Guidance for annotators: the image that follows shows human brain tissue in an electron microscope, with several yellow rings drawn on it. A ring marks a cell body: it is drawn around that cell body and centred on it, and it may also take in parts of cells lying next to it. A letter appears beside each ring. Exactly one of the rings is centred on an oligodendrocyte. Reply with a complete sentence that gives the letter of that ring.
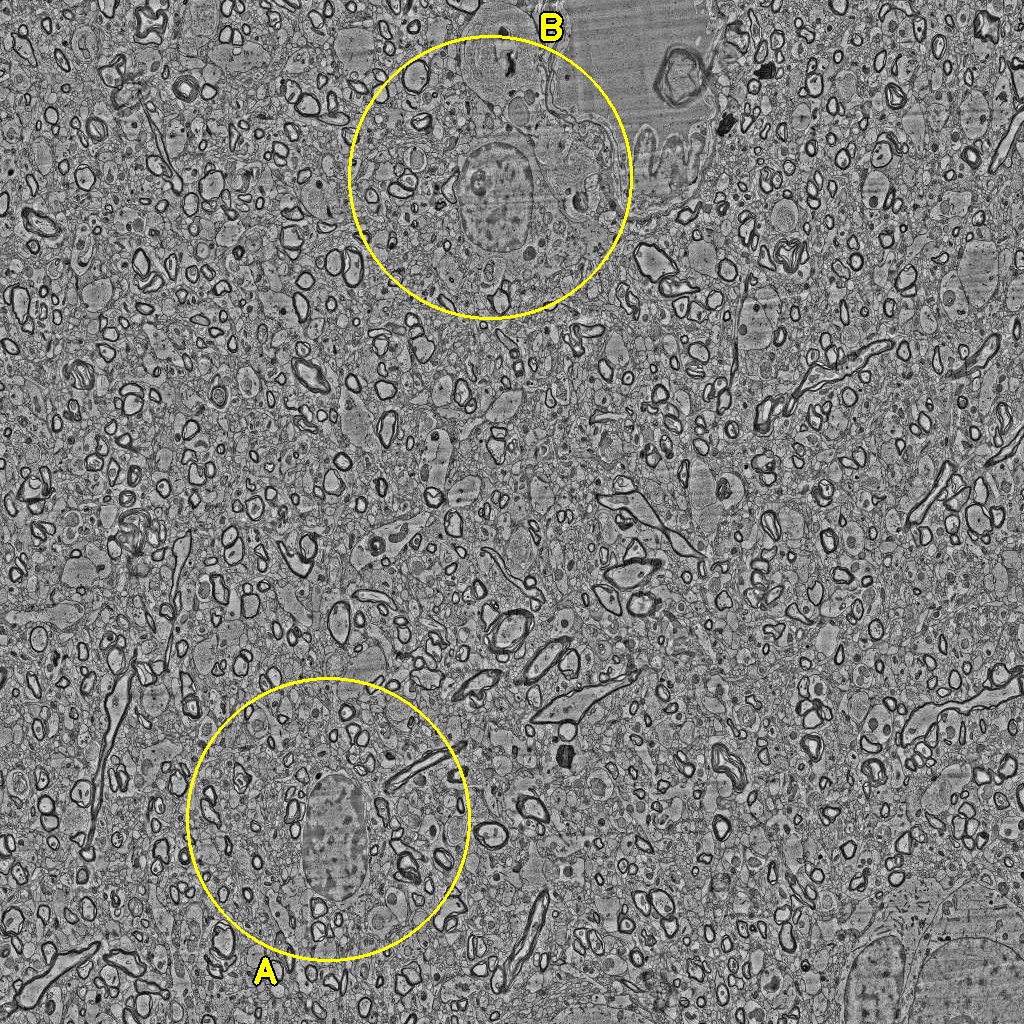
The ring lettered B is centred on that cell.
